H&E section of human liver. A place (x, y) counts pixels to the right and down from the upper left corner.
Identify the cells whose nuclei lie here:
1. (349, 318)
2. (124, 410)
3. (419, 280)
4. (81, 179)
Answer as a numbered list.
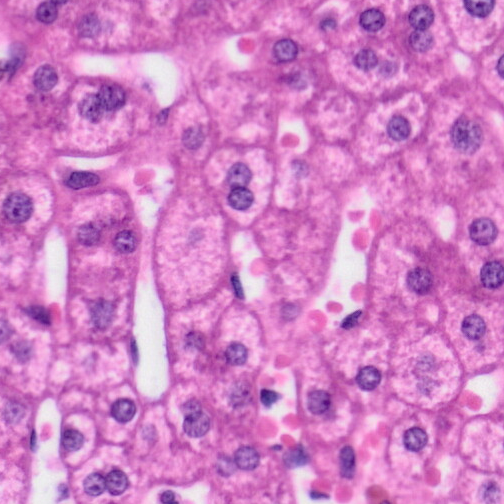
1. endothelial cell
2. hepatocyte
3. hepatocyte
4. Kupffer cell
